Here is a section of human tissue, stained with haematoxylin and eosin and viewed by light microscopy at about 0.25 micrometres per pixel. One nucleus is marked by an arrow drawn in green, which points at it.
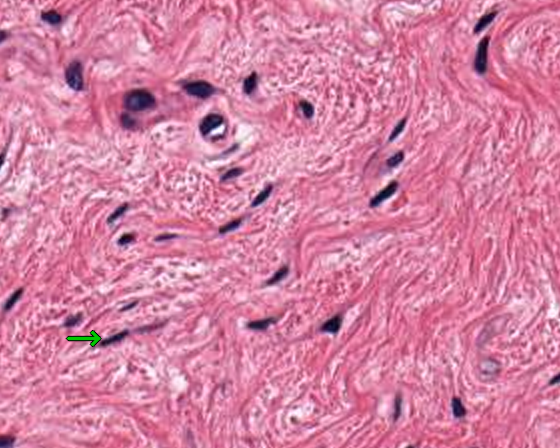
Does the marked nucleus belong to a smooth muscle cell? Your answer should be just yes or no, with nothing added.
no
